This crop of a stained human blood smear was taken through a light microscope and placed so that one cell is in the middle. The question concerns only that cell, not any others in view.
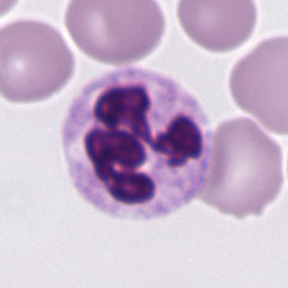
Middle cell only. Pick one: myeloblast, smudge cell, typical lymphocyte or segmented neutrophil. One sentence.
The cell nearest the centre of this crop is a segmented neutrophil.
